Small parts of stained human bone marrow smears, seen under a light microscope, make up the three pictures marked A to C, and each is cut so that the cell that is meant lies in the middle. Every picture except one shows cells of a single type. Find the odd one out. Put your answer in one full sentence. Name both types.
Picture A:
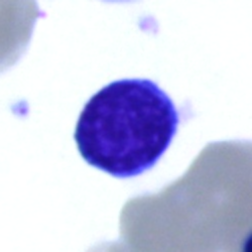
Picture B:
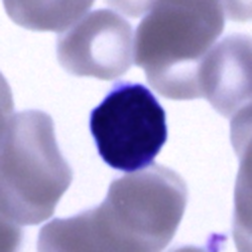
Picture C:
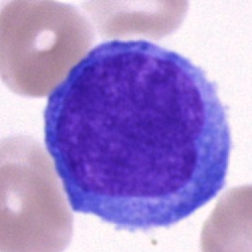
Unlike the rest, which show lymphocytes, picture C shows a blast.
